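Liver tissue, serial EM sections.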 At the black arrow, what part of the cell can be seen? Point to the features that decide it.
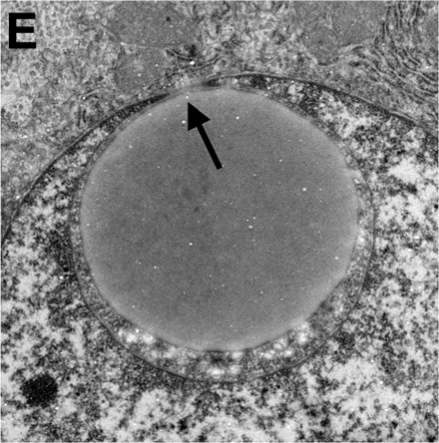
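Nuclear envelope. The arrow points at the thin dark double line bounding the nucleus. This line separates the mottled chromatin from the cytoplasm with membranes above. At the arrow the round grey body touches this line.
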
